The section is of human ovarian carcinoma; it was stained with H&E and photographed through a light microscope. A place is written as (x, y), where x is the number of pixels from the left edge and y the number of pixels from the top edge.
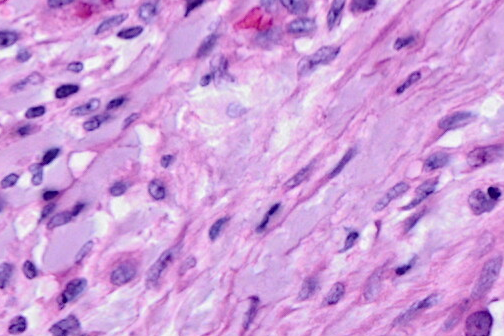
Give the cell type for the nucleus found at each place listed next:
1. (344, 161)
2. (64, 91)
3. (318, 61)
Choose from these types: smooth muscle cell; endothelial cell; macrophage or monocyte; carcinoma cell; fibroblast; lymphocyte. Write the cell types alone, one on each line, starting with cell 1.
fibroblast
lymphocyte
fibroblast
